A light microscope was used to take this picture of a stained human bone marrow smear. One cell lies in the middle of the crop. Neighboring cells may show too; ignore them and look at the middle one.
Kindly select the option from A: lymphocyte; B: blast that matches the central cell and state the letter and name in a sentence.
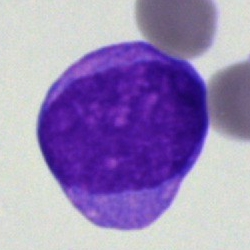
The cell in the center of this crop is a blast, so option B is the one to pick.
